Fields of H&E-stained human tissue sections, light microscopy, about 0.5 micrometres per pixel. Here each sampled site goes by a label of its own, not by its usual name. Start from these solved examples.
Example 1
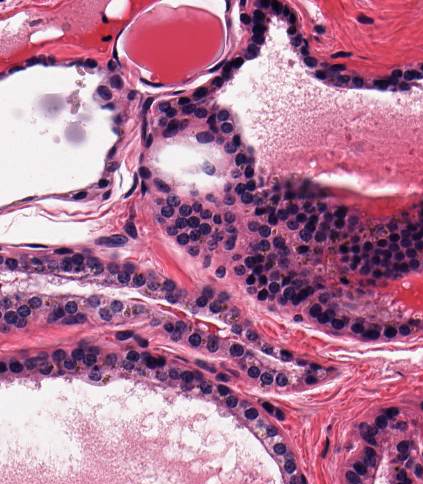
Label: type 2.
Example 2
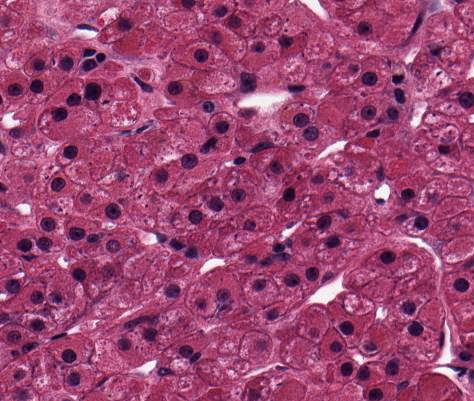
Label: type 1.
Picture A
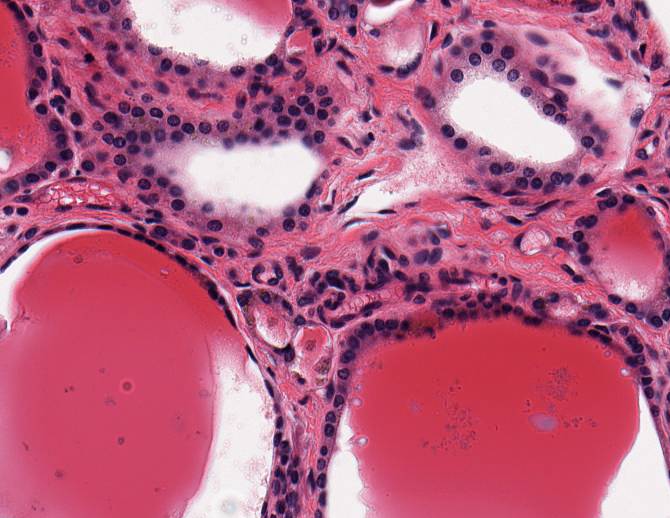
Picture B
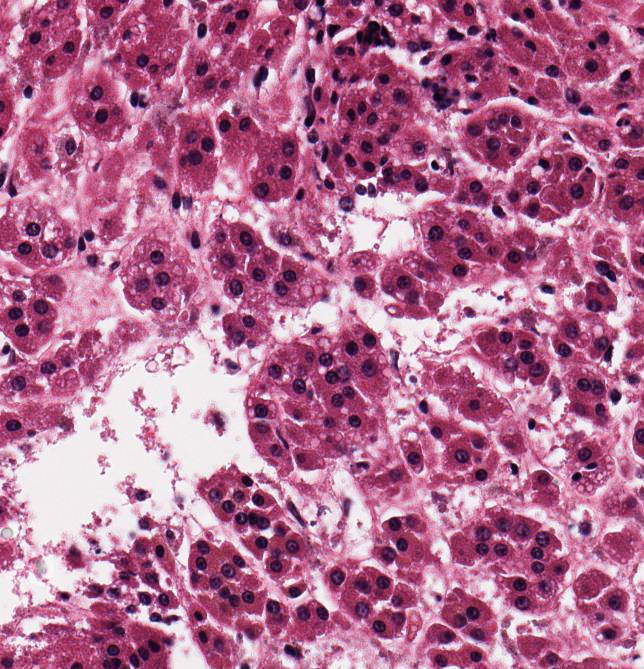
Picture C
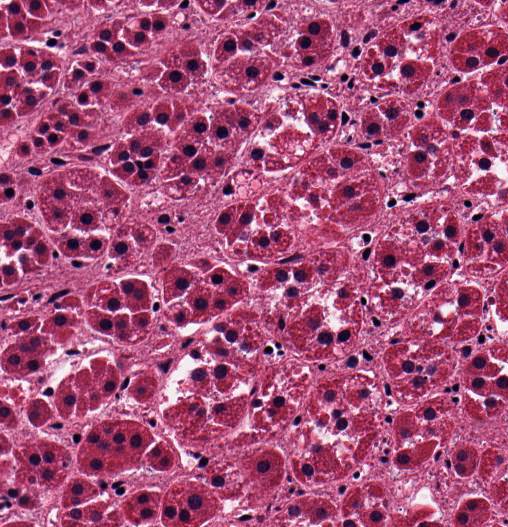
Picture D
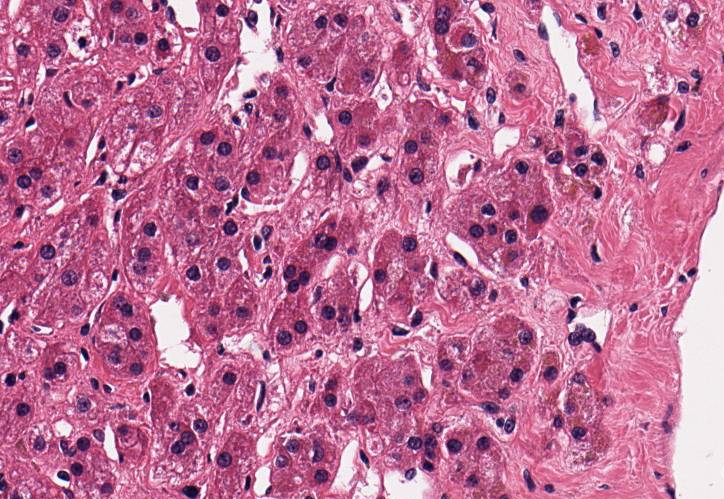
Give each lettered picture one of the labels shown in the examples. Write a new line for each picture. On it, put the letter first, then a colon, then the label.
A: type 2.
B: type 1.
C: type 1.
D: type 1.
